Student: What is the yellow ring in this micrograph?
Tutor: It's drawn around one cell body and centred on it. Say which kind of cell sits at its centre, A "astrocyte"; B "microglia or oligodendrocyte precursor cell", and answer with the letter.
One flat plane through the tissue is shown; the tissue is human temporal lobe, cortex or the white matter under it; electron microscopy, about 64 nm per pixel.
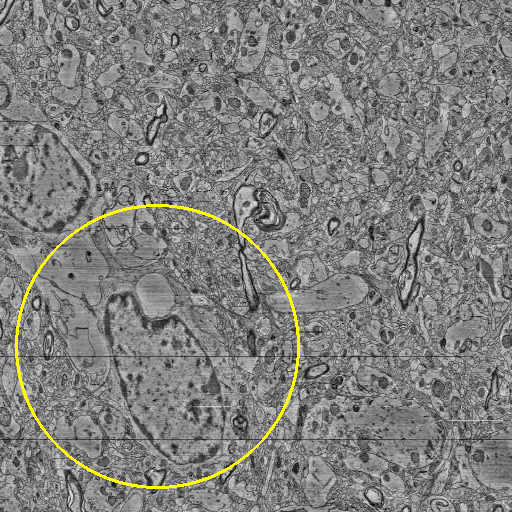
B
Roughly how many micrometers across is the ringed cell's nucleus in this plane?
About 12 by 6 micrometres, the nucleus being clearly longer than it is wide in this plane.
